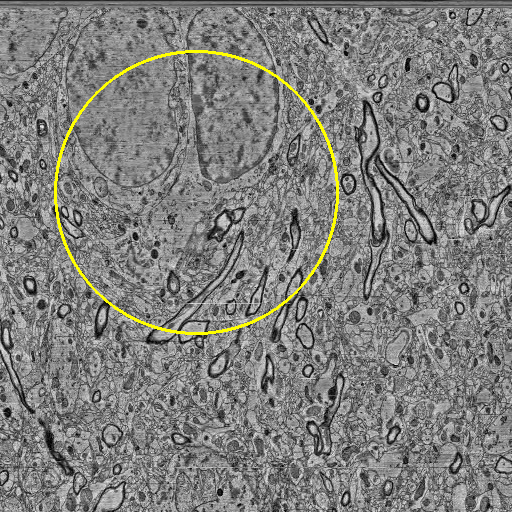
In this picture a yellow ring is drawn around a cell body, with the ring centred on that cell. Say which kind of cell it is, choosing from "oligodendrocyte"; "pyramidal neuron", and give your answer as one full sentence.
Here it is a pyramidal neuron that sits at the centre of the drawn yellow ring.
